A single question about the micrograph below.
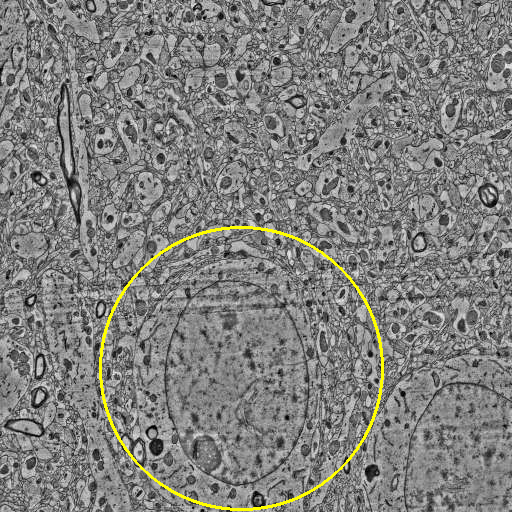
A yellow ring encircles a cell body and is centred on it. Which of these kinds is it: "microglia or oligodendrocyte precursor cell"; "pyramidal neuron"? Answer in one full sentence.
The cell body at the centre of the yellow ring belongs to a pyramidal neuron.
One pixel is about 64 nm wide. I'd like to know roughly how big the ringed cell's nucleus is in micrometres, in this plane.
Roughly 13 by 9 micrometres is the size of the nucleus in this plane.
